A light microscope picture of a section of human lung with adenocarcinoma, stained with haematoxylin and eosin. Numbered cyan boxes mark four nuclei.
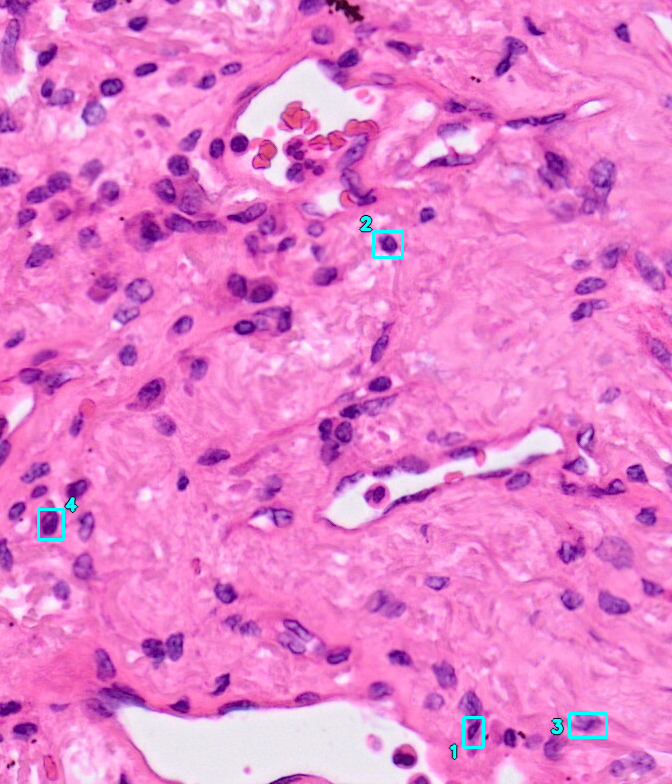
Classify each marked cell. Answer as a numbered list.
1. plasma cell
2. lymphocyte
3. fibroblast
4. plasma cell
